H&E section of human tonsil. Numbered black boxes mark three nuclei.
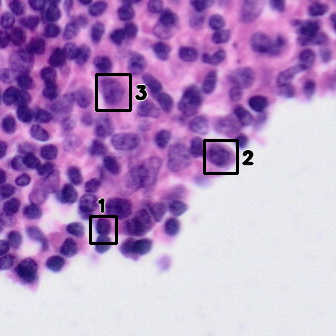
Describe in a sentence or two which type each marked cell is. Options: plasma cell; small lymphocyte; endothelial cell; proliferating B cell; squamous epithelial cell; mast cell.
Cell 1 is a small lymphocyte, cell 2 is a proliferating B cell and cell 3 is a proliferating B cell.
